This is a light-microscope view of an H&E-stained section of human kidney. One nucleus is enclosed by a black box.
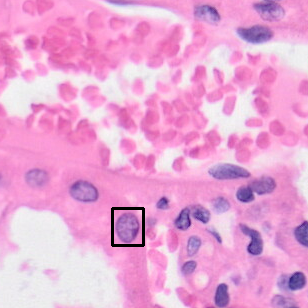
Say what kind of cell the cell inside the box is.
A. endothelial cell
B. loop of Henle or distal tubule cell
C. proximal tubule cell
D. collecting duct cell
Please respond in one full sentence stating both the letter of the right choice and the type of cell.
The correct response is option C: the cell inside the box is a proximal tubule cell.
